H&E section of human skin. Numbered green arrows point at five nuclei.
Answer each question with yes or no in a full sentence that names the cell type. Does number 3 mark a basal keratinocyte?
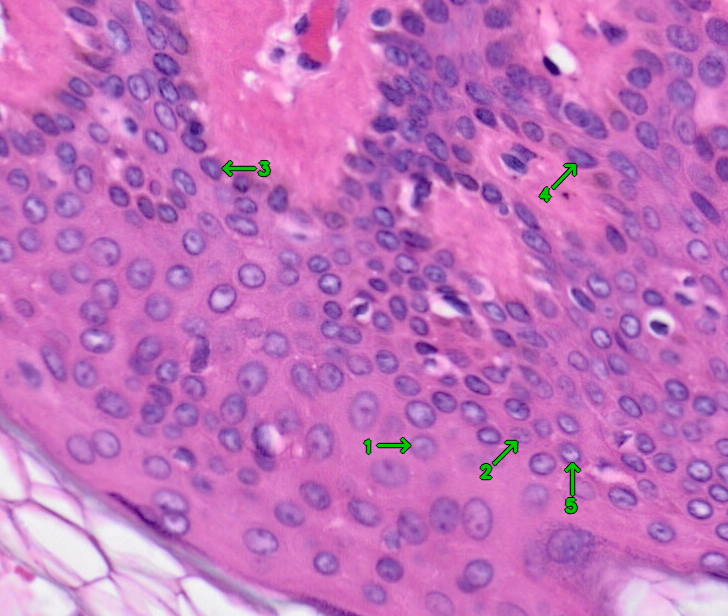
Yes, the cell at marker 3 is a basal keratinocyte.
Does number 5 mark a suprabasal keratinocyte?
Yes, the cell that is numbered 5 is a suprabasal keratinocyte.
